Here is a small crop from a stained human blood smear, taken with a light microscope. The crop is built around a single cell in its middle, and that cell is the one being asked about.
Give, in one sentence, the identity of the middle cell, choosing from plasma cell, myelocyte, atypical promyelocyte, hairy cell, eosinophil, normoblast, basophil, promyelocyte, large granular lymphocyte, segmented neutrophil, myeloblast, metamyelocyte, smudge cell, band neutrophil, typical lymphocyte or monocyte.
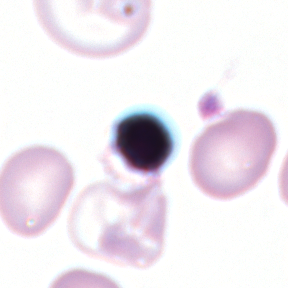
The cell at the middle of the crop is recognized as a normoblast.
